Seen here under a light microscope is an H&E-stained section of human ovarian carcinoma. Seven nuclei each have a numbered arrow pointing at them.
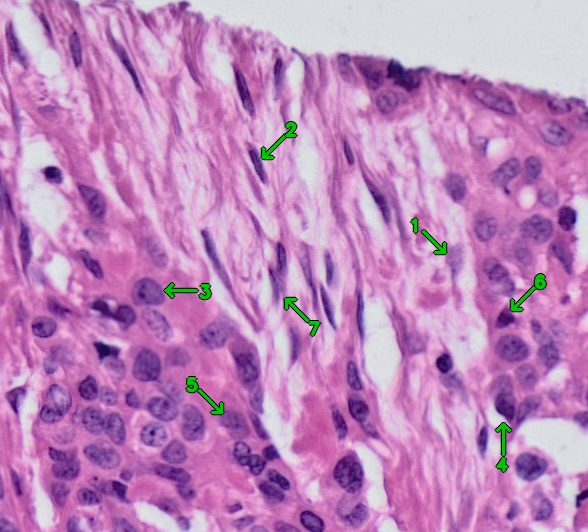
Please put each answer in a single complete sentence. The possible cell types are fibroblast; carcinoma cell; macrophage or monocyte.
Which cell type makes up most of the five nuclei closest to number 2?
Around number 2, most of the five nearest nuclei are those of fibroblasts.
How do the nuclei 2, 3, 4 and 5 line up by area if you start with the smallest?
By area, going up from the smallest, they rank 2, 4, 5, 3.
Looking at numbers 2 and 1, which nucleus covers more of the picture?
Nucleus 1 is the larger one, covering about 1.5 times the area of nucleus 2.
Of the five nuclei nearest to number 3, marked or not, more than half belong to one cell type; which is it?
Most of the five nuclei nearest to number 3 are those of carcinoma cells.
